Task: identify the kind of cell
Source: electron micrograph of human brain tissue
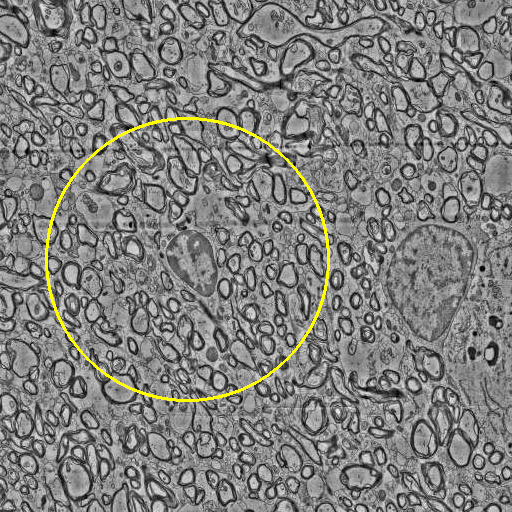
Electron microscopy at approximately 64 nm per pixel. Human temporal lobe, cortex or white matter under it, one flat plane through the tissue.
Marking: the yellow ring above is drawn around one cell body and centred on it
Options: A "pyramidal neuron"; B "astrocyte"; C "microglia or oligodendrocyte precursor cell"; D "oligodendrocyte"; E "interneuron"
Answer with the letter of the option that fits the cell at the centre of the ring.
C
